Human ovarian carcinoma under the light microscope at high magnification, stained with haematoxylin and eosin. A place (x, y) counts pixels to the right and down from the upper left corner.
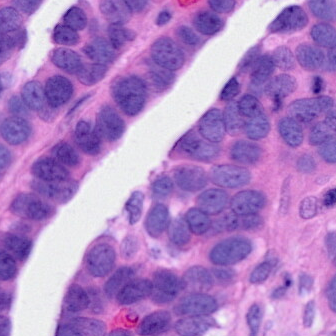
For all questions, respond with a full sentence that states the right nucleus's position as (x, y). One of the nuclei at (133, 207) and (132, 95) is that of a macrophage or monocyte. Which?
The nucleus situated at (133, 207) is the one belonging to a macrophage or monocyte.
